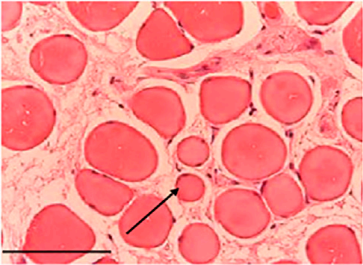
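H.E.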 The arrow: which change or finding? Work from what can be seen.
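Atrophic phenomena. The arrow points to a very small rounded fibre beside much larger fibres. Fibres across the section differ widely in size.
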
